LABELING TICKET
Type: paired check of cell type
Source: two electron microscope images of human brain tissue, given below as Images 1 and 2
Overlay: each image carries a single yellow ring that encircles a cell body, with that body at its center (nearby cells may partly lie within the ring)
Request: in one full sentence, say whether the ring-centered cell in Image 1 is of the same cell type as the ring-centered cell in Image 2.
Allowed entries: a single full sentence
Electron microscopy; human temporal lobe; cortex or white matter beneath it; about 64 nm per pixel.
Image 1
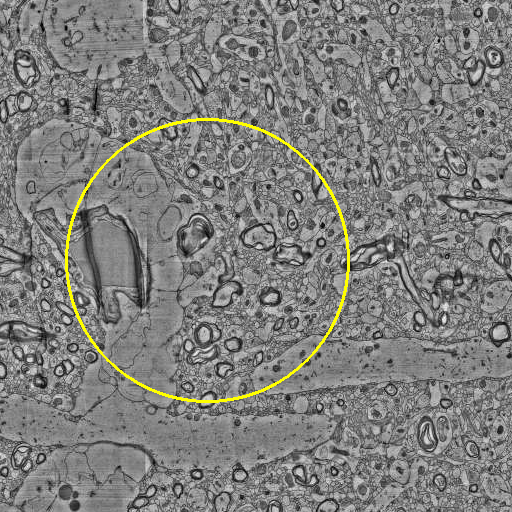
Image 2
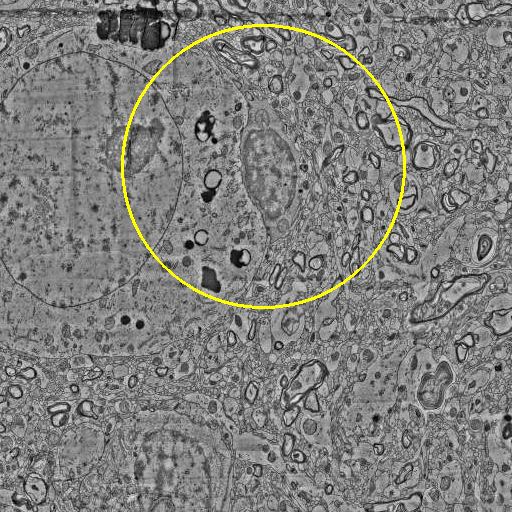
Yes, the cells centered in the rings of Image 1 and Image 2 share one type.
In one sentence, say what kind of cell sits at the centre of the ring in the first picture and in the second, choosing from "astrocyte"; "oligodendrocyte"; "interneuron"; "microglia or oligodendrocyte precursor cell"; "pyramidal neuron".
Each of the two pictures has an oligodendrocyte at the ring centre.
